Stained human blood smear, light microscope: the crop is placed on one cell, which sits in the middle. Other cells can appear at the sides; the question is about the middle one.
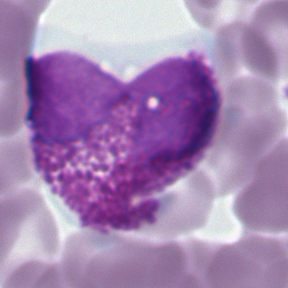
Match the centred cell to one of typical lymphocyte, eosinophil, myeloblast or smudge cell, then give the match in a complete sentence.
The crop's centre is taken up by an eosinophil.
